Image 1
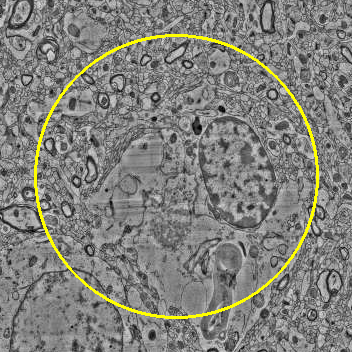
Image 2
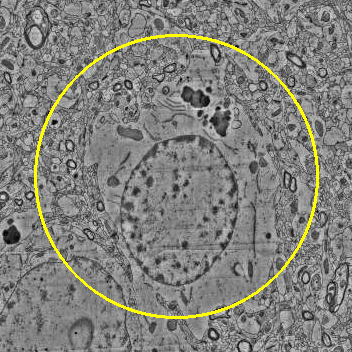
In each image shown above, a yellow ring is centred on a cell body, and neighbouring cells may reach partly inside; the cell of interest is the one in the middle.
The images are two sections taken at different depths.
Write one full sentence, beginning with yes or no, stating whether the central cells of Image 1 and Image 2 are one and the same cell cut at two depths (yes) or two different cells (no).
Yes, both rings identify a single, shared cell.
